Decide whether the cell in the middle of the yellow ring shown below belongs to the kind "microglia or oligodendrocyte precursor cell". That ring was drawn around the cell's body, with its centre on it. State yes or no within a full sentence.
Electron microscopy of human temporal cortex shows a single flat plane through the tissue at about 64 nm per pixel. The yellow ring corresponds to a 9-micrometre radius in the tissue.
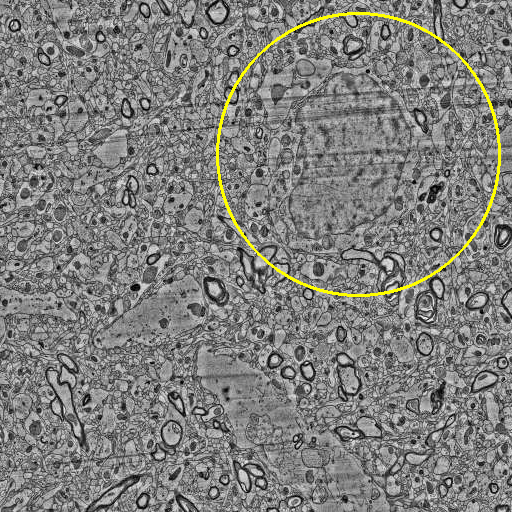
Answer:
No, the cell whose body lies at the ring's centre in the picture belongs to a different kind.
